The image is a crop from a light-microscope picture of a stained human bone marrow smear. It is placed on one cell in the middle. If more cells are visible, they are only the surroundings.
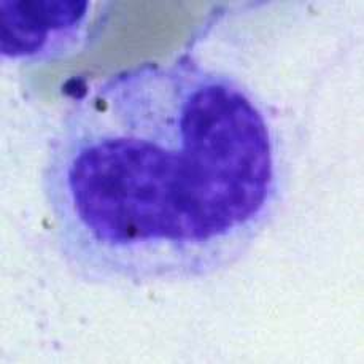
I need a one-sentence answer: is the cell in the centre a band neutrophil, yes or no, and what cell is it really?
Yes, that is a band neutrophil in the middle of the crop.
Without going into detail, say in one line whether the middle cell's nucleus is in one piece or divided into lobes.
The nucleus is one compact mass, round, oval or kidney-shaped in outline.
